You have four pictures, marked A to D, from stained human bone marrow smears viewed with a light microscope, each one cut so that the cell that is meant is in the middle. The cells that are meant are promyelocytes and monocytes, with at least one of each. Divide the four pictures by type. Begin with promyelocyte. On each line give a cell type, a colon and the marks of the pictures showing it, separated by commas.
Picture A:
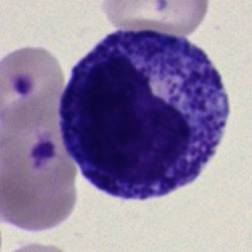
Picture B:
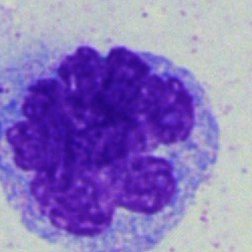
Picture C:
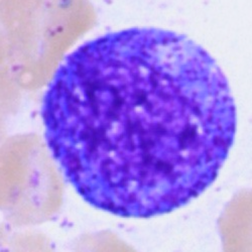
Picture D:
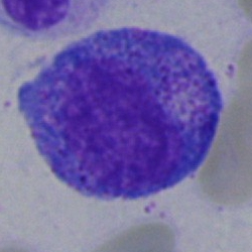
promyelocyte: A, C, D
monocyte: B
